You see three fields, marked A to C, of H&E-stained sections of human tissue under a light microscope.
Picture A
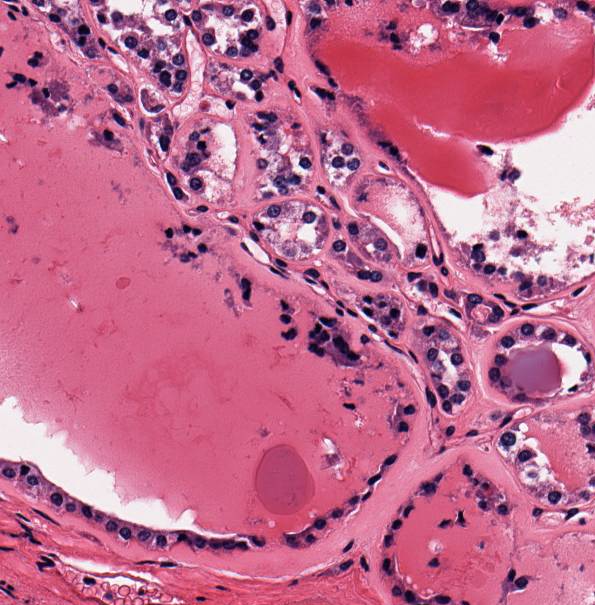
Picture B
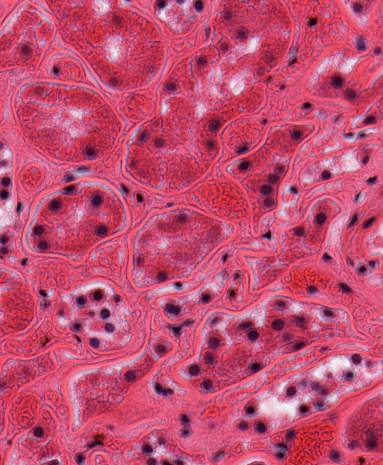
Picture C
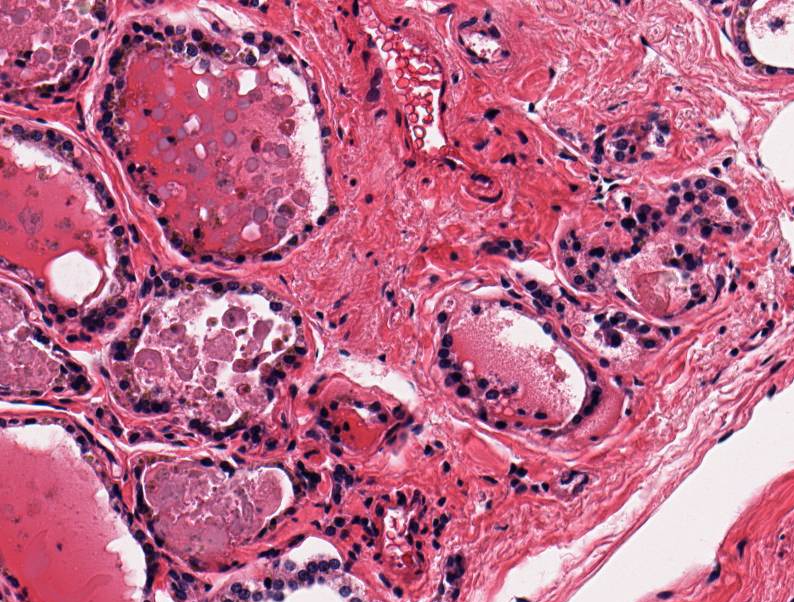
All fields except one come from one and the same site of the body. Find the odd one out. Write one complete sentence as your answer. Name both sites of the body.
Picture B is the odd one out: it comes from the renal cortex, while the others come from the thyroid.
